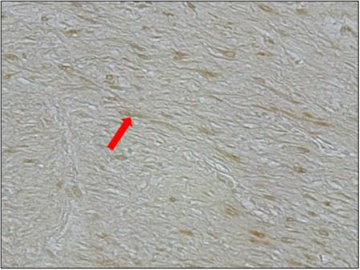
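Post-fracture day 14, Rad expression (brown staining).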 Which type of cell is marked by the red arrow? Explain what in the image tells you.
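Elongated, spindle-shaped cells with slender oval nuclei. Cells lie aligned in parallel streams within a pale fibrillar matrix.
Fibroblast-like spindle cells.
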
